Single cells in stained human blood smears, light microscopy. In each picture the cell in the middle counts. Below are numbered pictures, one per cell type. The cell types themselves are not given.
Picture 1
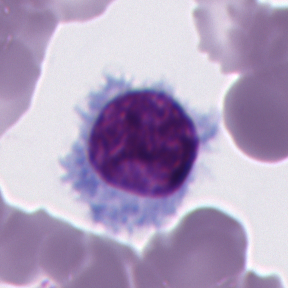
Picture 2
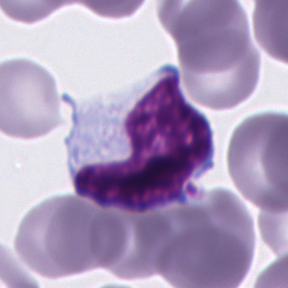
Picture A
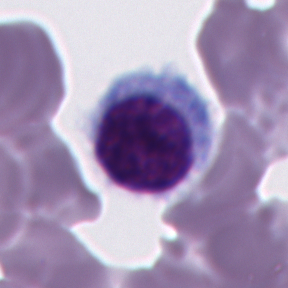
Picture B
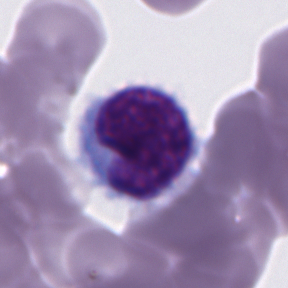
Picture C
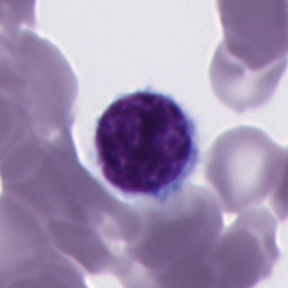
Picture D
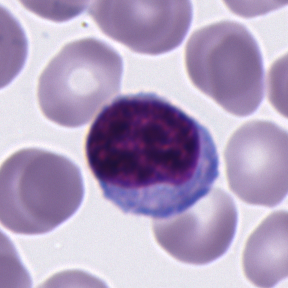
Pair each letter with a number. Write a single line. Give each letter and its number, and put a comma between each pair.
A 1, B 1, C 1, D 2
